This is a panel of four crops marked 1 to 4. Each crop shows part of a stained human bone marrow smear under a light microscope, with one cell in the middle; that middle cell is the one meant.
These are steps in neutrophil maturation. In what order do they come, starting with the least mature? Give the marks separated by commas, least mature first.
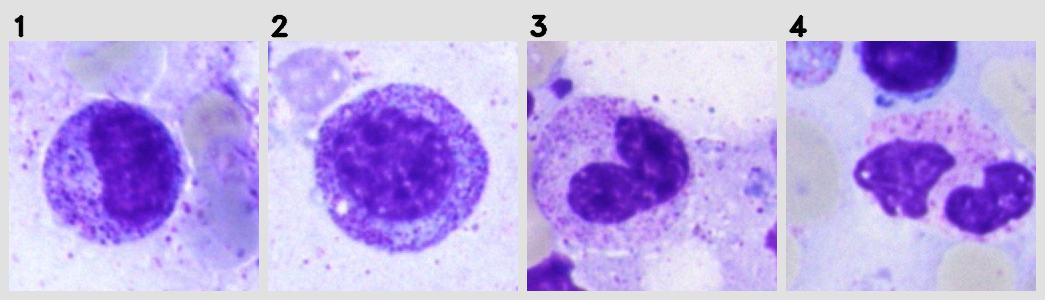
2, 1, 3, 4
